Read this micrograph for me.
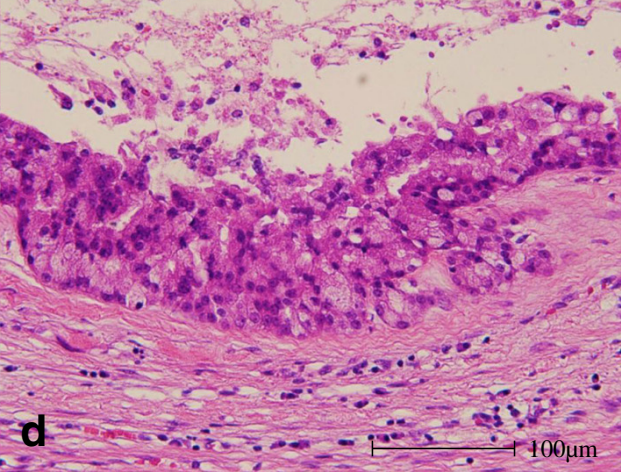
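Wall of a small cyst lined by epithelial cells that pile up into several layers forming papillary growths. The cells have abundant pale pink cytoplasm and round, dark purple nuclei. The surface toward the lumen is uneven and tufted. Beneath the epithelium lies loose fibrous tissue with scattered spindle-shaped nuclei, without a densely cellular stroma. The lumen above holds loose fibrillar material and a few detached cells.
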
